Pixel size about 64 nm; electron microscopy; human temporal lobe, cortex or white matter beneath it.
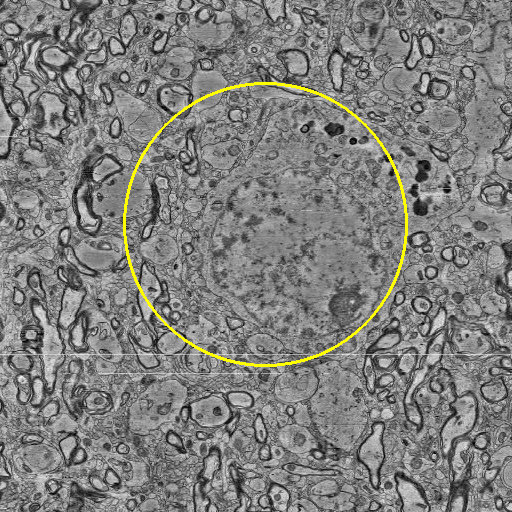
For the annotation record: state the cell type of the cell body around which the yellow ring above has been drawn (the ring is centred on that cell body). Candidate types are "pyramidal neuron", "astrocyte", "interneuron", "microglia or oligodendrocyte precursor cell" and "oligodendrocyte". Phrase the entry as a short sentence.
The ringed cell is an interneuron.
